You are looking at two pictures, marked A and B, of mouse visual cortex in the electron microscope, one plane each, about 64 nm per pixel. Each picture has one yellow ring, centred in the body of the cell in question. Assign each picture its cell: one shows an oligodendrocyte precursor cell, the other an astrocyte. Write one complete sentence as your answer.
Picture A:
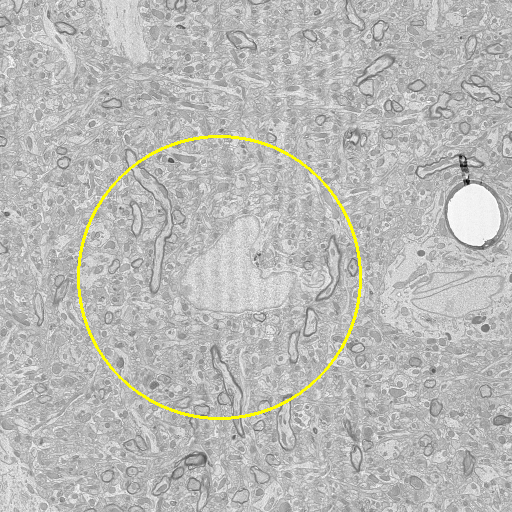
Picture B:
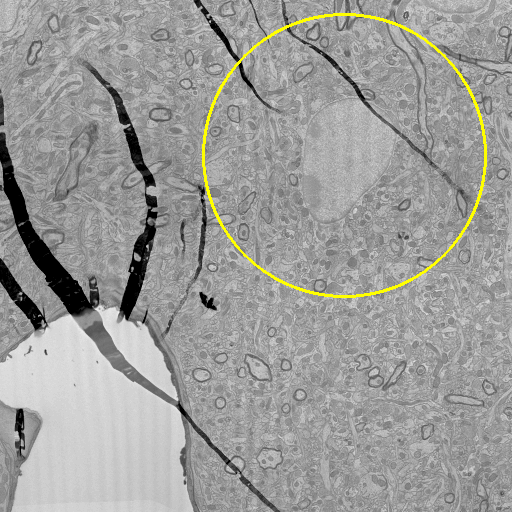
It is picture A that shows an oligodendrocyte precursor cell, and picture B that shows an astrocyte.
